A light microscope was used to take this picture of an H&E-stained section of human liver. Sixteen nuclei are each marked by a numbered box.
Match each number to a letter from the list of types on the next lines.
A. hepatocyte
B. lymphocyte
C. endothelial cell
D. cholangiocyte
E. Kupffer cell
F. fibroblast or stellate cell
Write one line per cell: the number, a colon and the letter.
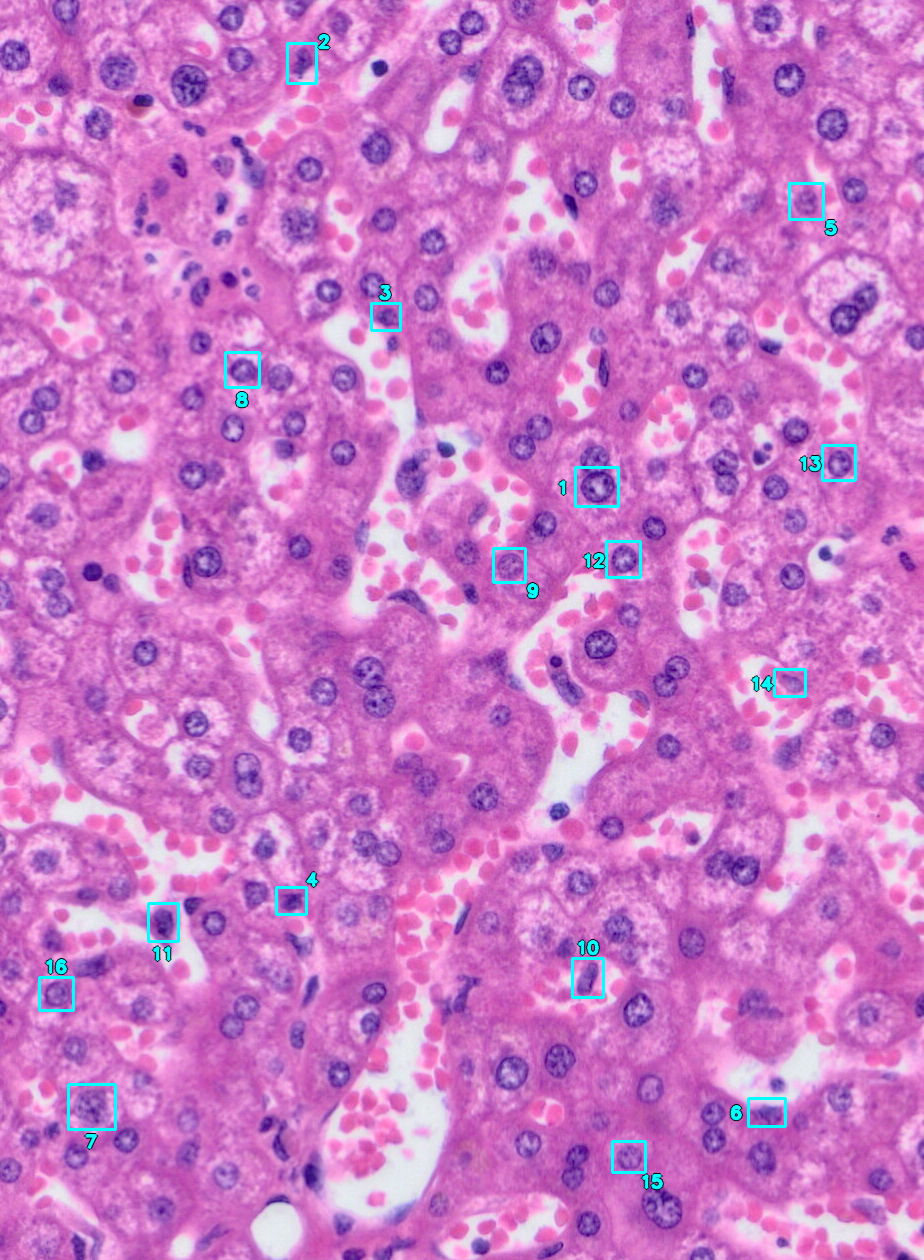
1: A
2: C
3: F
4: F
5: A
6: C
7: A
8: A
9: A
10: E
11: E
12: A
13: A
14: E
15: A
16: A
